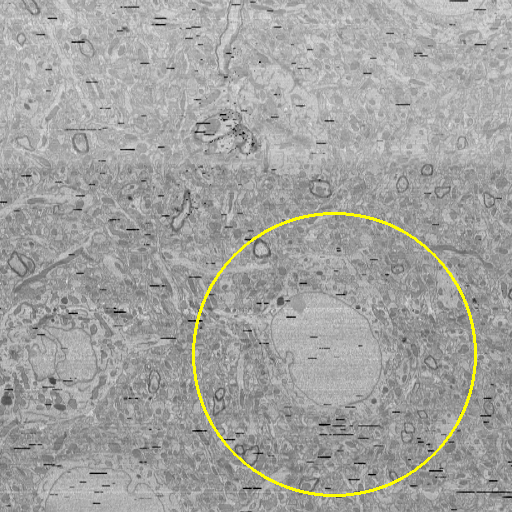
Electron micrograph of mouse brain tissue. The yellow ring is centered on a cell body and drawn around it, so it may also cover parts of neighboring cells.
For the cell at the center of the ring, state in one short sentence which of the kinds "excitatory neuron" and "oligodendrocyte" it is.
This ring is centered on an excitatory neuron.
